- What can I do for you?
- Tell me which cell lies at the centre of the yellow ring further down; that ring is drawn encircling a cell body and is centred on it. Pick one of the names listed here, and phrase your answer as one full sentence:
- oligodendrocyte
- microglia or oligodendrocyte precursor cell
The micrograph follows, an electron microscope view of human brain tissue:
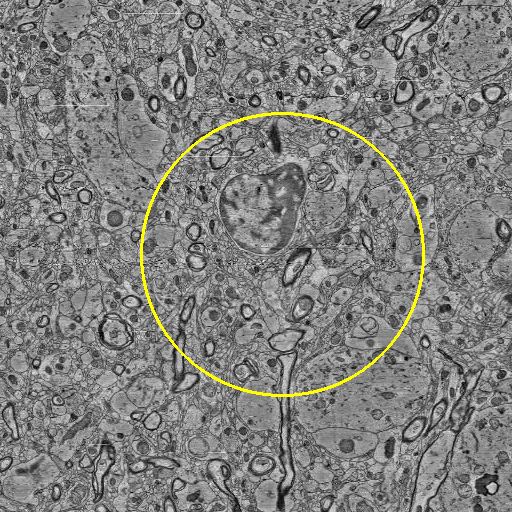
The cell whose body lies at the centre of the yellow ring is a microglial cell or oligodendrocyte precursor cell.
